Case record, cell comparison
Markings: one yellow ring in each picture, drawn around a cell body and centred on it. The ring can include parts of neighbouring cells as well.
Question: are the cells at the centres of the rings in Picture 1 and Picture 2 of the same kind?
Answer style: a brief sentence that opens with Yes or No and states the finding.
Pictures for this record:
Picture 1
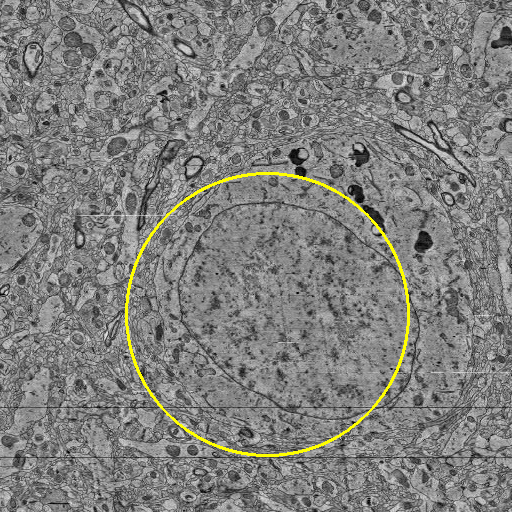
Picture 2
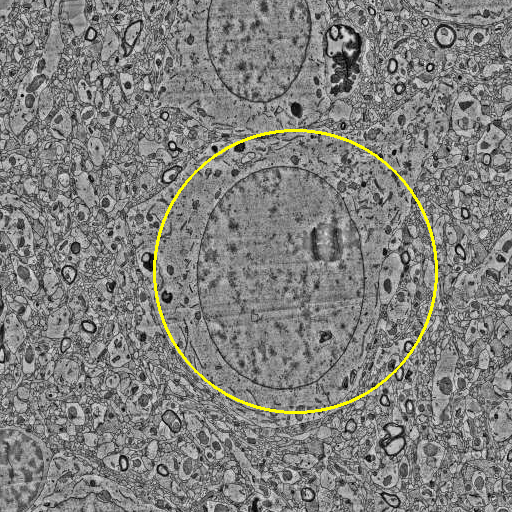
Yes, the cells in Picture 1 and Picture 2 are of the same kind.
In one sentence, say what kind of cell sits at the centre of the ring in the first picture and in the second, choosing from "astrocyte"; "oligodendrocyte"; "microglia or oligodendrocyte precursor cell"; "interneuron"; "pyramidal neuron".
The ring centre holds a pyramidal neuron in each of the two pictures.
